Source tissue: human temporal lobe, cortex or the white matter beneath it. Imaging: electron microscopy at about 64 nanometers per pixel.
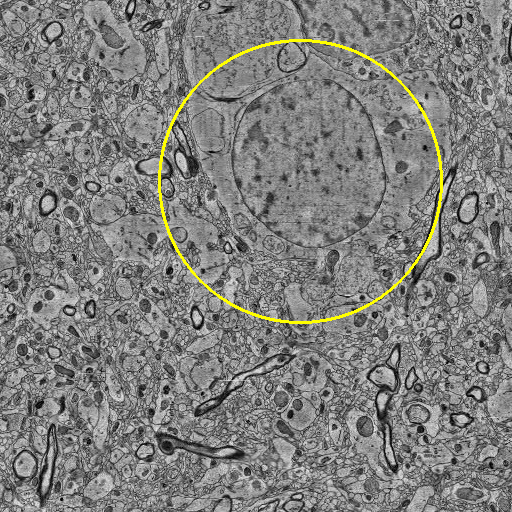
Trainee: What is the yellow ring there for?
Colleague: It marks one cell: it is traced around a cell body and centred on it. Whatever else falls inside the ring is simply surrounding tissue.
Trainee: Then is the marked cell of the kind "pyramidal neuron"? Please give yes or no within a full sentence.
No, the marked cell at the centre of the yellow ring is of a different kind.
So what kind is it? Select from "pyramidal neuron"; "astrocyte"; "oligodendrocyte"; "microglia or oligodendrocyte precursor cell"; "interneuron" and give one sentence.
The ringed cell in this picture is, instead, an astrocyte.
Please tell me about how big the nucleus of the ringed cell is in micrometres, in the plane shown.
Roughly 11 by 10 micrometres is the size of the nucleus in this plane.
